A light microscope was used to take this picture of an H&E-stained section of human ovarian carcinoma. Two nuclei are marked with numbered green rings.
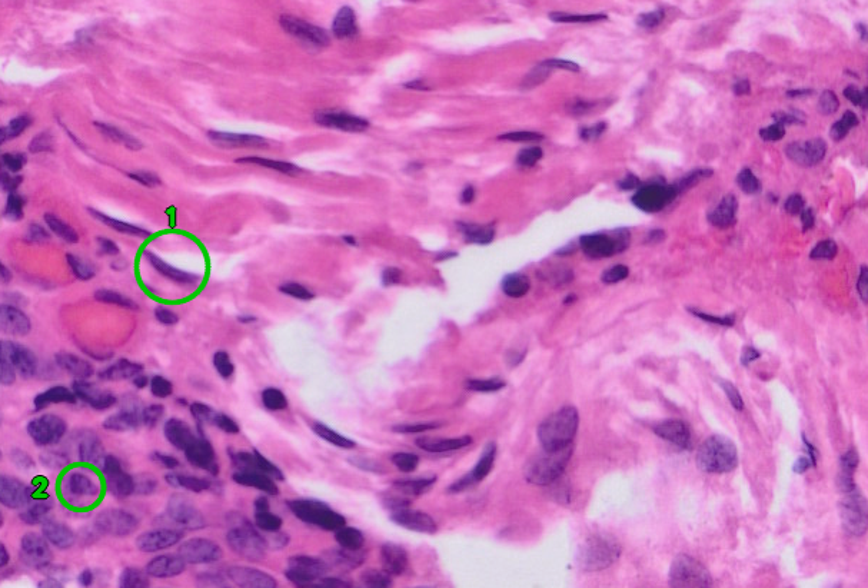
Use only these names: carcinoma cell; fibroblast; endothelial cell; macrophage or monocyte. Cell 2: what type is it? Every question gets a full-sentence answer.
The identity of cell 2 is that of a carcinoma cell.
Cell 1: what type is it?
Cell number 1 in this section is a fibroblast.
